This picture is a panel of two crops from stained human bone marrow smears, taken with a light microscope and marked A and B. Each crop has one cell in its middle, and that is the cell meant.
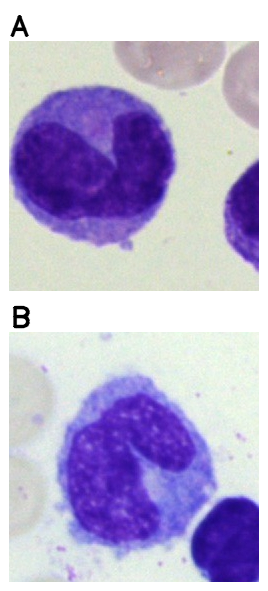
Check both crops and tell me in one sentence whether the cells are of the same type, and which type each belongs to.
Yes, monocytes are what the two crops show.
